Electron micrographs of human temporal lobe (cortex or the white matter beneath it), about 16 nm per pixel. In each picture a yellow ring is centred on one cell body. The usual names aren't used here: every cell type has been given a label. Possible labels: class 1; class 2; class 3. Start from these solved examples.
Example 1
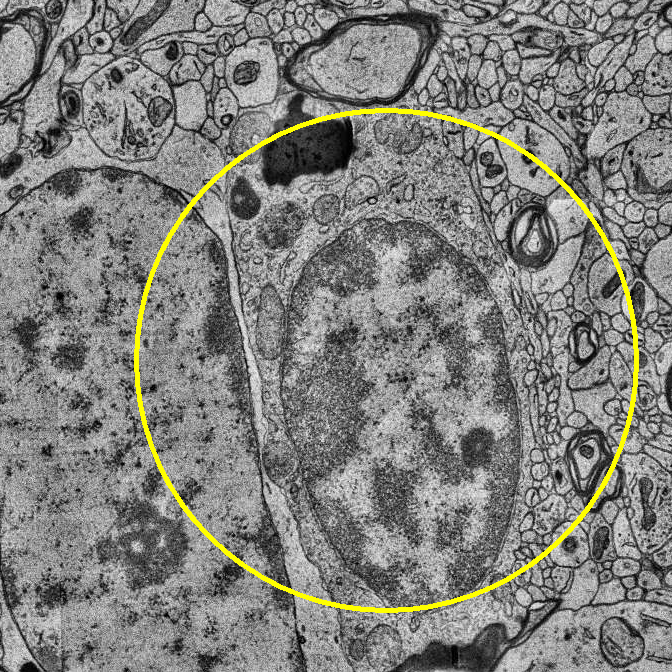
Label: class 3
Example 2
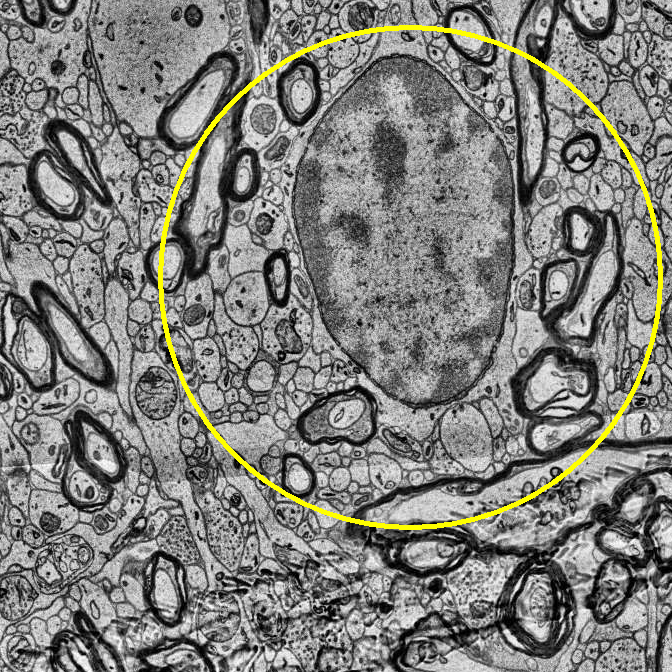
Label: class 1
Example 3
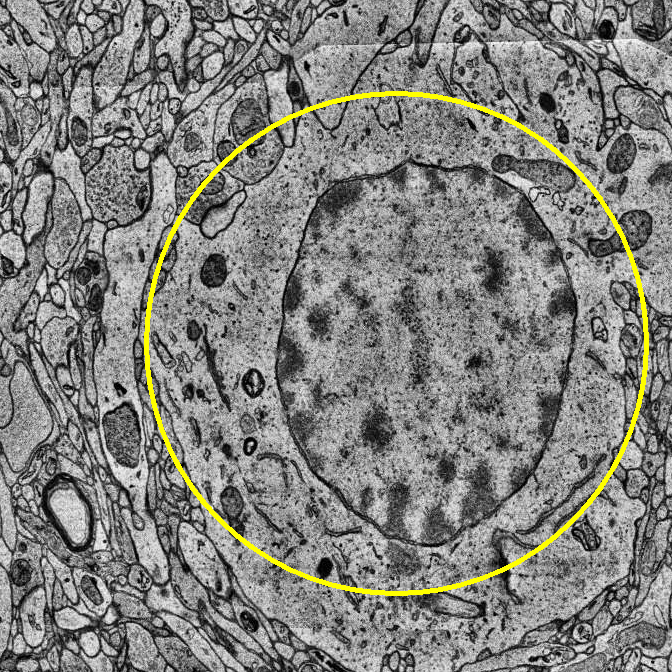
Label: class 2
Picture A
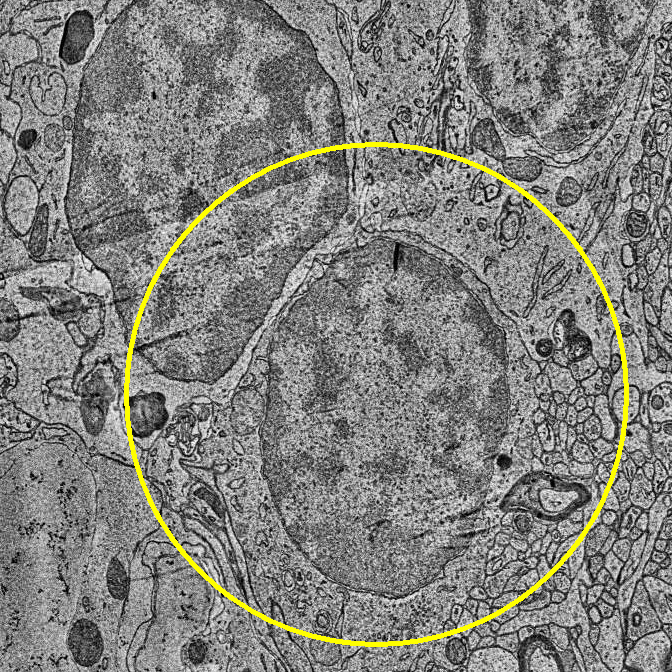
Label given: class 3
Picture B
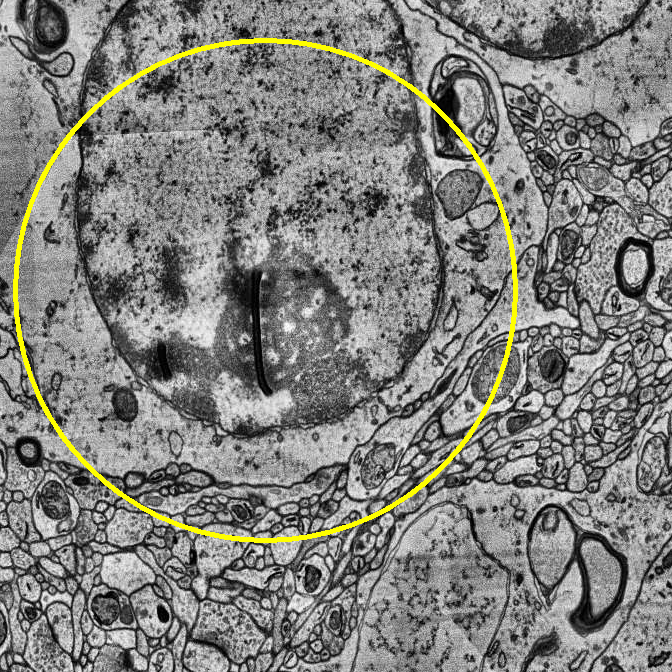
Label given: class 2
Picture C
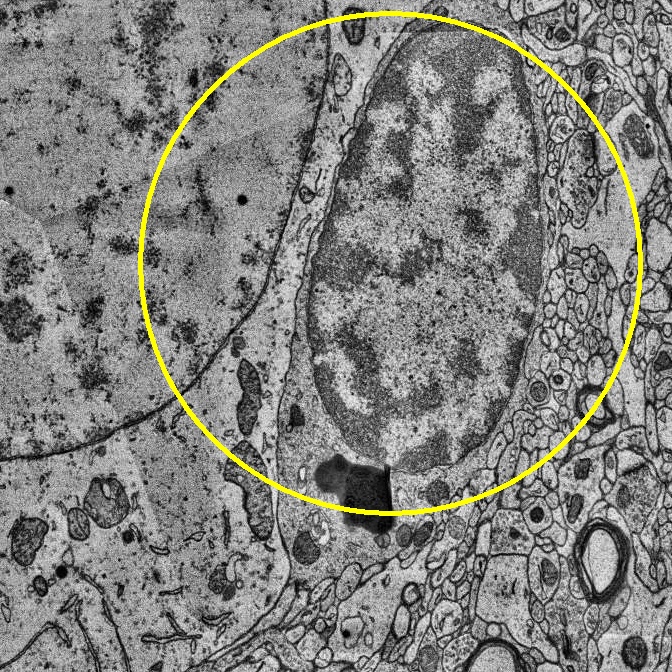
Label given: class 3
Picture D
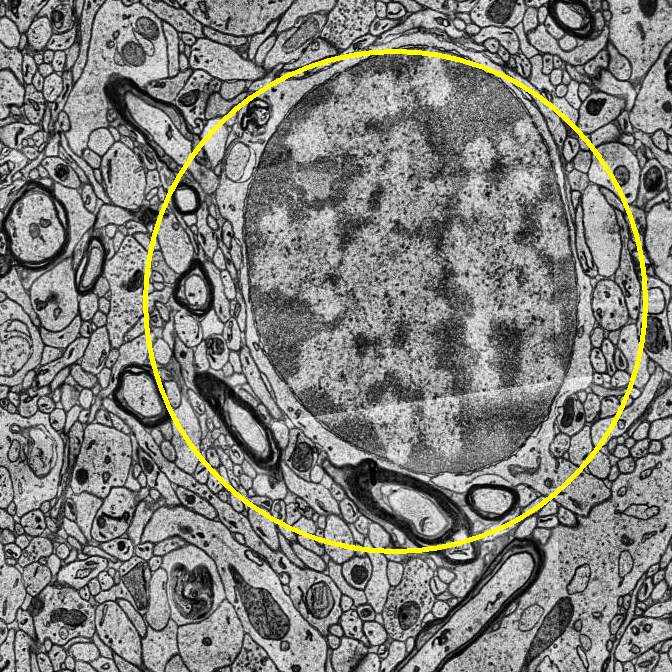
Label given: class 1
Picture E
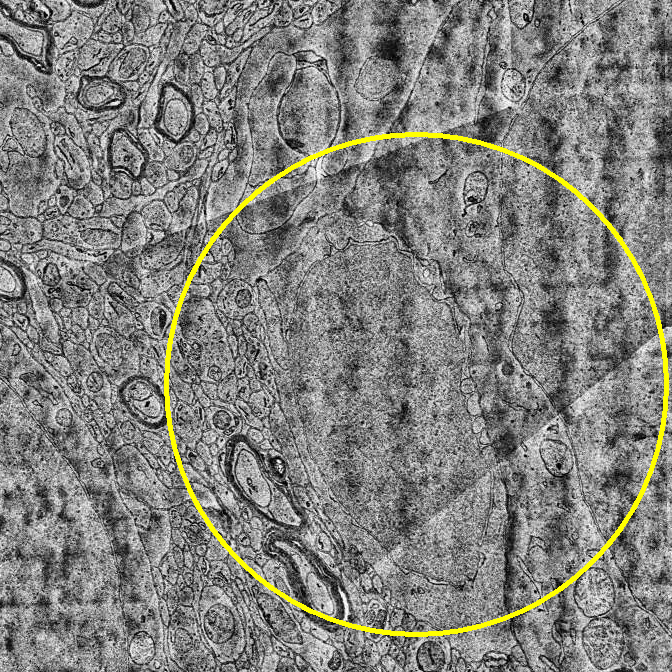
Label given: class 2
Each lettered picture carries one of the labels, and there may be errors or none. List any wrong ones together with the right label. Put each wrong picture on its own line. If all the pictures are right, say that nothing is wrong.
E: change class 2 to class 3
